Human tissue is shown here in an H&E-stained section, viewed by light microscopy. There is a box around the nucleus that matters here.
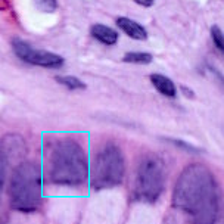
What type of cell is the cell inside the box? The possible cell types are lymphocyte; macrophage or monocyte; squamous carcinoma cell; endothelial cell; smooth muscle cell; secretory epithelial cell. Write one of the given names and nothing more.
secretory epithelial cell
